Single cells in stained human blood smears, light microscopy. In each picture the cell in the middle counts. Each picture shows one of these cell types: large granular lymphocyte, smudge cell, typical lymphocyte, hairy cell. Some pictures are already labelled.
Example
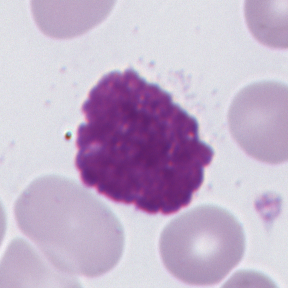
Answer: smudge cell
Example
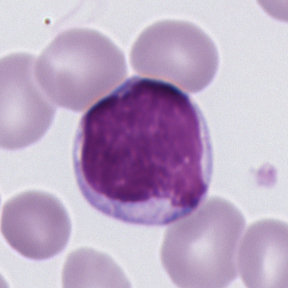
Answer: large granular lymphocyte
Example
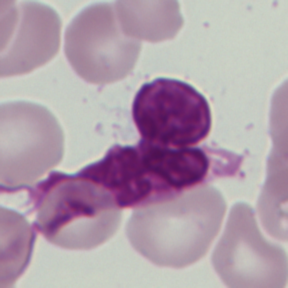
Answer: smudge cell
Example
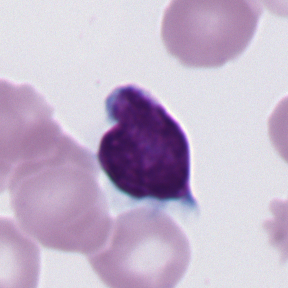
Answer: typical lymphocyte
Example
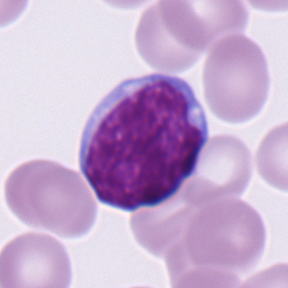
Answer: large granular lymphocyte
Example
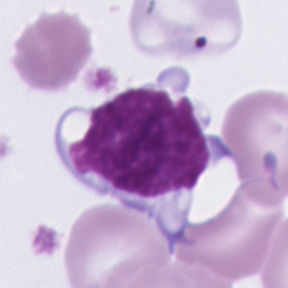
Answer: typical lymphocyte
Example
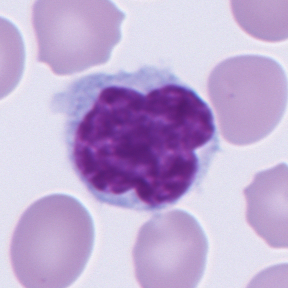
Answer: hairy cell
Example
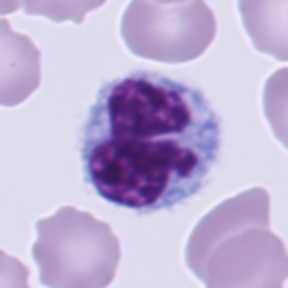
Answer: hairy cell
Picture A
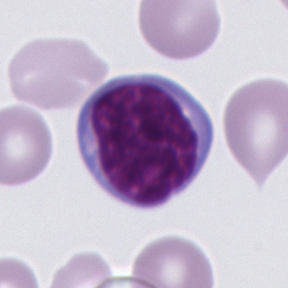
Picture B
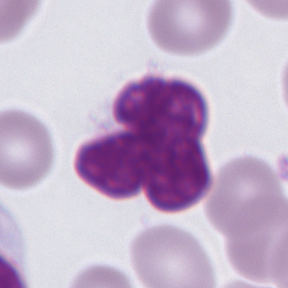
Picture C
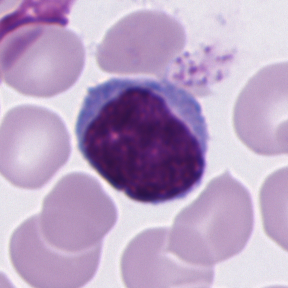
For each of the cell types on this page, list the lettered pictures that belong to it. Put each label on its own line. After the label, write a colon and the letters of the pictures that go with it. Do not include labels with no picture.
large granular lymphocyte: A
smudge cell: B
typical lymphocyte: C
